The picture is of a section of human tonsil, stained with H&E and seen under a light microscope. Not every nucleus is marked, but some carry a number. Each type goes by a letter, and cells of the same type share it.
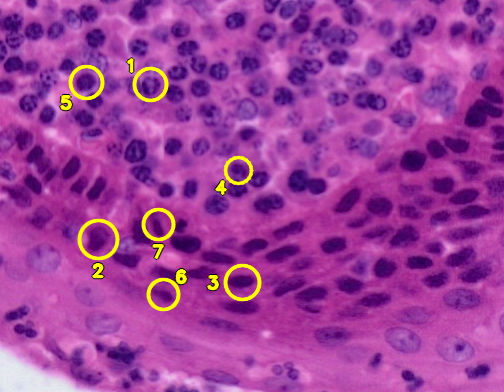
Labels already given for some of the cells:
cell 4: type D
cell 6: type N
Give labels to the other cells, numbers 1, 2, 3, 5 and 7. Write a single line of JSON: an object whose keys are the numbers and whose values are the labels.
{"1": "type D", "2": "type N", "3": "type N", "5": "type D", "7": "type N"}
